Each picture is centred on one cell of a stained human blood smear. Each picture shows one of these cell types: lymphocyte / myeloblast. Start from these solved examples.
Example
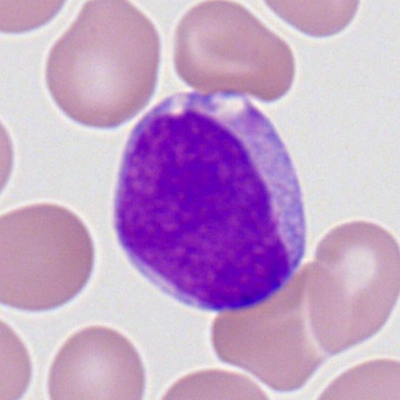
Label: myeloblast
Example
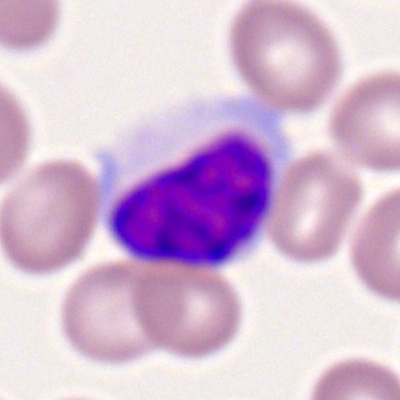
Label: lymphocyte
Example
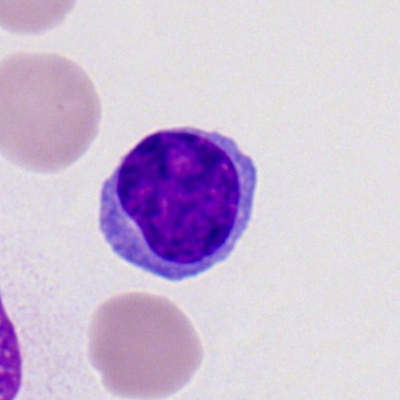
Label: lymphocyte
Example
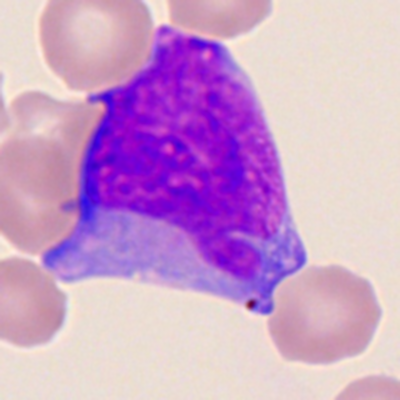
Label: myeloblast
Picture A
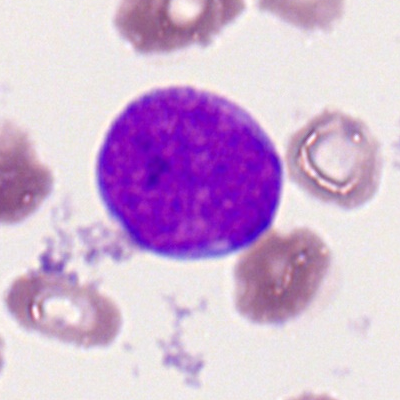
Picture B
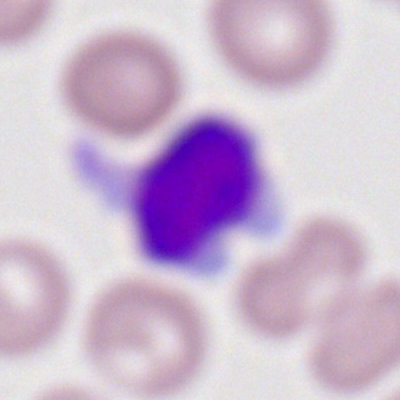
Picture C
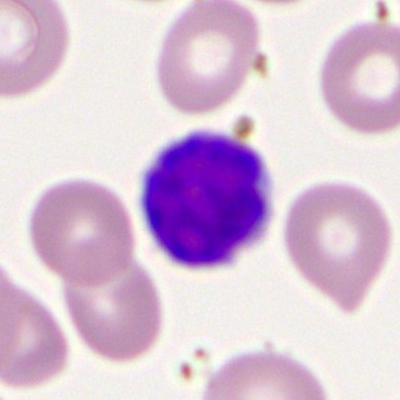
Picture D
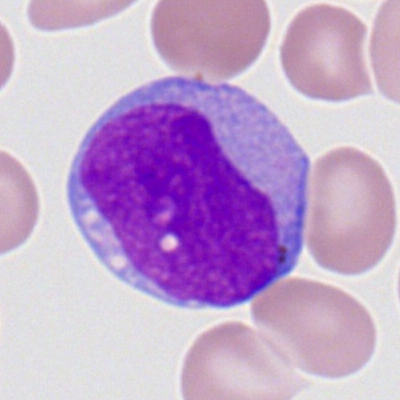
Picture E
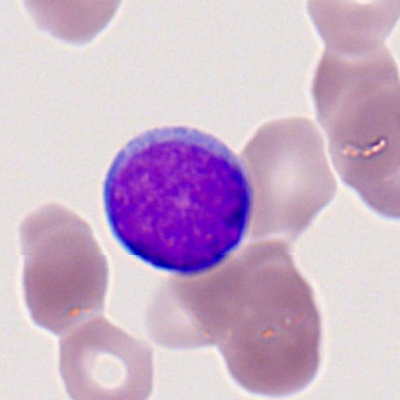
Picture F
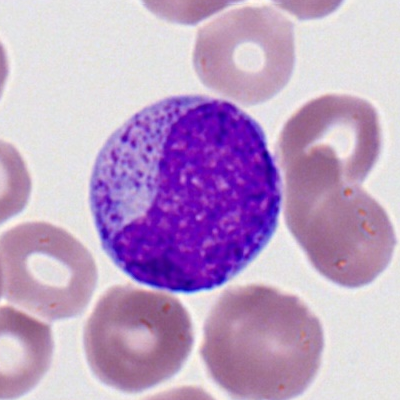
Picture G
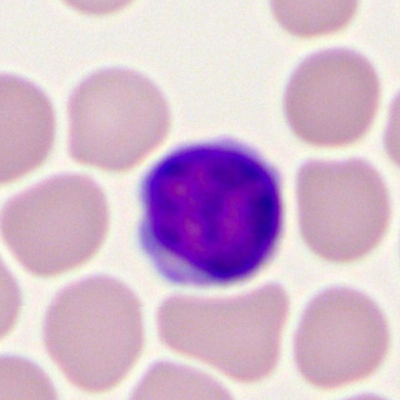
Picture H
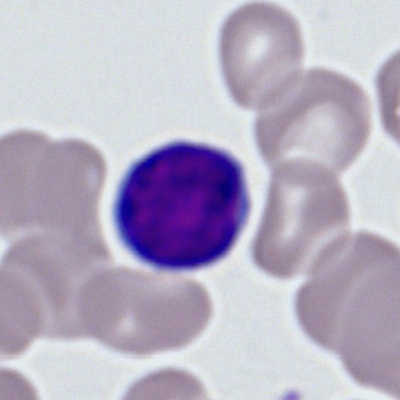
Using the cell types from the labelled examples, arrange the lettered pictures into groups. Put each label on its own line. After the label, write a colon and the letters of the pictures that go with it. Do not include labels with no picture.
lymphocyte: B, C, G, H
myeloblast: A, D, E, F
